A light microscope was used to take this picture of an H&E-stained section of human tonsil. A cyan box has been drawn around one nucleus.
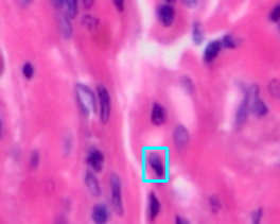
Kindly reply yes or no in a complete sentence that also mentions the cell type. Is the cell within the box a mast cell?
Yes, regarding cell type, the cell within the box is a mast cell.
